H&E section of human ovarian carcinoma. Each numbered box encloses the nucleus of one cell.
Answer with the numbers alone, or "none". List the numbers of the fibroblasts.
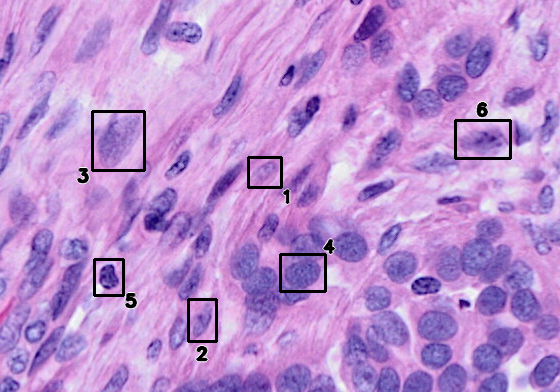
1, 2, 3, 6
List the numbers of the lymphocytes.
5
